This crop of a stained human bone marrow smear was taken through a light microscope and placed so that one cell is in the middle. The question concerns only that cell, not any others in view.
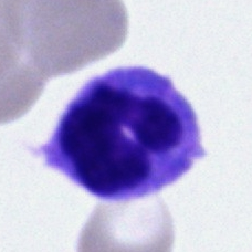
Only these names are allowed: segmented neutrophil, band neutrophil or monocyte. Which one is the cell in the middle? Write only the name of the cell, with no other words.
monocyte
